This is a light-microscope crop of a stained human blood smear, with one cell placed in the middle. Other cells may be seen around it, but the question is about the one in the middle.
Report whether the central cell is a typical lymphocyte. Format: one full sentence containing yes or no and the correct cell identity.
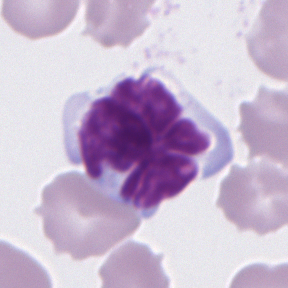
Yes, the central element of the crop is a typical lymphocyte.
